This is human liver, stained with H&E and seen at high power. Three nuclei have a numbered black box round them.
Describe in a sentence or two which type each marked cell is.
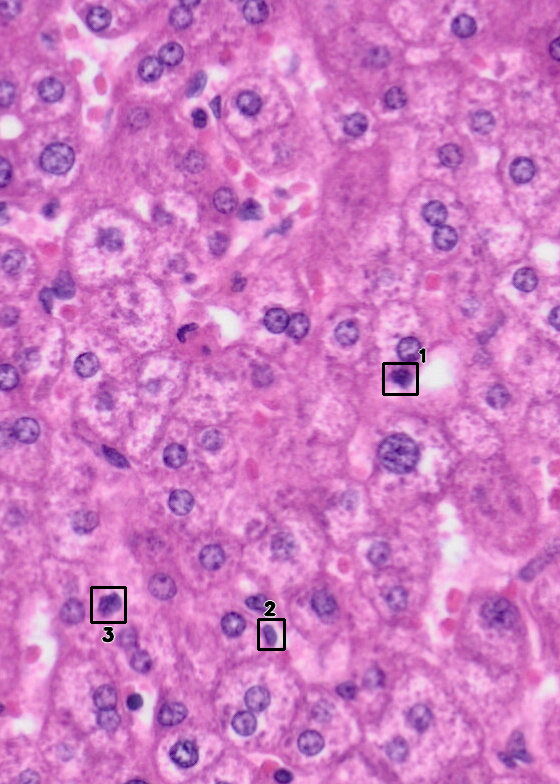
Cell 1 is an endothelial cell, cell 2 is a lymphocyte and cell 3 is an endothelial cell.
